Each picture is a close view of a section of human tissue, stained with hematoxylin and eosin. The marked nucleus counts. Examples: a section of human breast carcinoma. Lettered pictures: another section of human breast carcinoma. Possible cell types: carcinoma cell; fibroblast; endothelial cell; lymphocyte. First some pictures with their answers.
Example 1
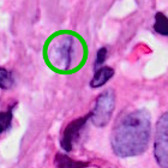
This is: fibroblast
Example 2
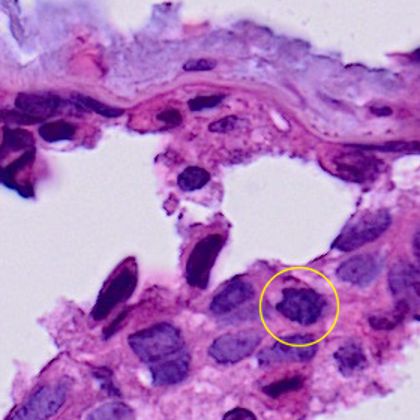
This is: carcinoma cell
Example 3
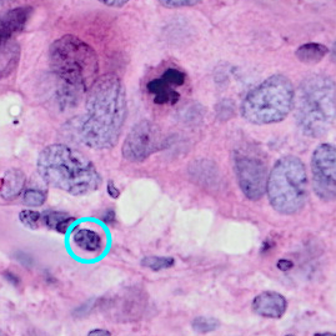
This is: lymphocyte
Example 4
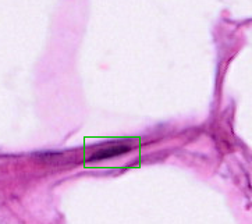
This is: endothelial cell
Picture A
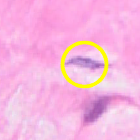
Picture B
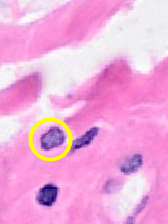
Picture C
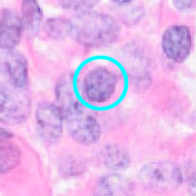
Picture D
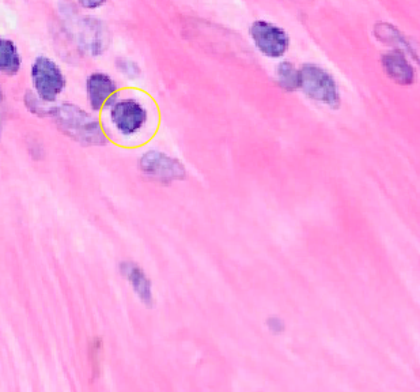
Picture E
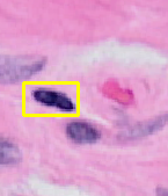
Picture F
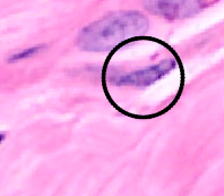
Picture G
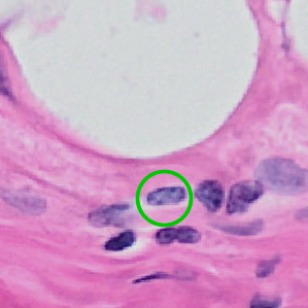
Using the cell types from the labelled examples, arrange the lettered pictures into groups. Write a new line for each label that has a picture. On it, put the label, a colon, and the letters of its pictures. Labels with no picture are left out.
carcinoma cell: C
fibroblast: A
endothelial cell: F
lymphocyte: B, D, E, G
